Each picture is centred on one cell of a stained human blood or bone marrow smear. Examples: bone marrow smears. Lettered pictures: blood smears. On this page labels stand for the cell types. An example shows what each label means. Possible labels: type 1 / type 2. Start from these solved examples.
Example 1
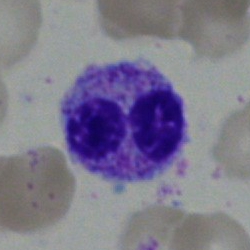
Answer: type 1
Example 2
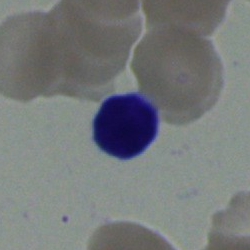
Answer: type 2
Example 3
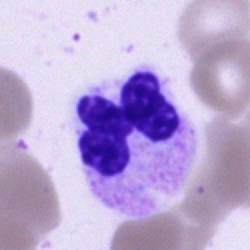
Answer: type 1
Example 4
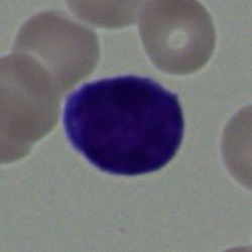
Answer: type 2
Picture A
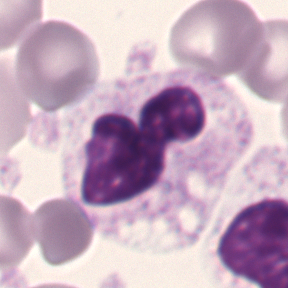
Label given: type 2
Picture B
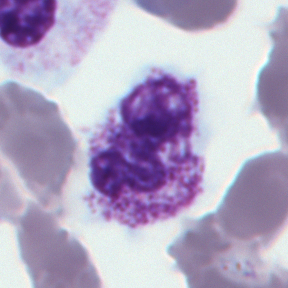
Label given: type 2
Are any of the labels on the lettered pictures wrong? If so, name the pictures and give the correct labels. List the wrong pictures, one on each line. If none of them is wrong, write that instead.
A is labelled type 2; correct label: type 1
B is labelled type 2; correct label: type 1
